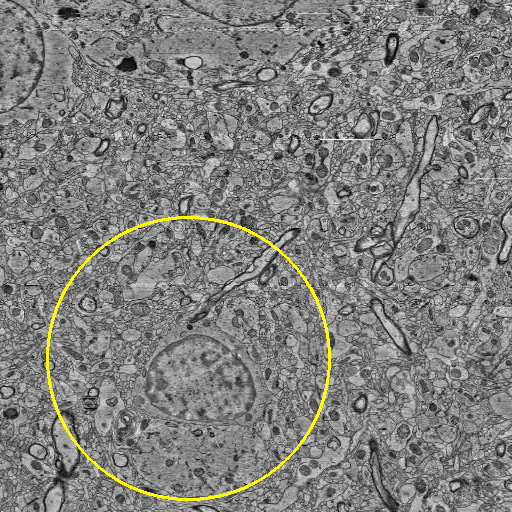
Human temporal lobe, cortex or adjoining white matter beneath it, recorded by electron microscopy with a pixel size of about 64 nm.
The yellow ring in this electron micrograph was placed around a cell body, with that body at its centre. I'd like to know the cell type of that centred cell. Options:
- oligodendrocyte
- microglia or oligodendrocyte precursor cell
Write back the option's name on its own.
oligodendrocyte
